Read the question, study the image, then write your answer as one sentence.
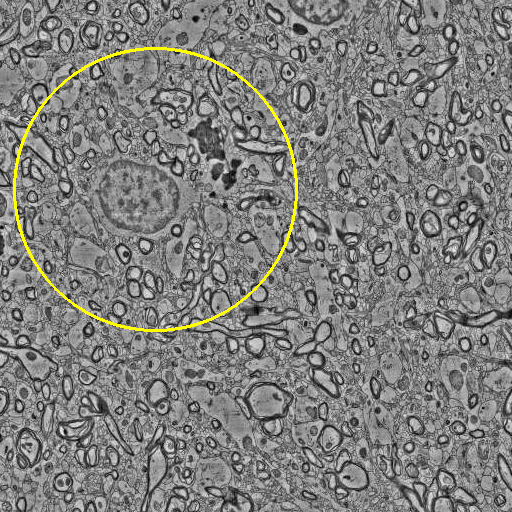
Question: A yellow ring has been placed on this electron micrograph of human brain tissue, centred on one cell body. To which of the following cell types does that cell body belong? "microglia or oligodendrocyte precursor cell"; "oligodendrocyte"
That cell body belongs to an oligodendrocyte.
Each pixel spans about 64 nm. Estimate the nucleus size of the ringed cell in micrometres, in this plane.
The nucleus works out at approximately 5 by 4 micrometres in this plane.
